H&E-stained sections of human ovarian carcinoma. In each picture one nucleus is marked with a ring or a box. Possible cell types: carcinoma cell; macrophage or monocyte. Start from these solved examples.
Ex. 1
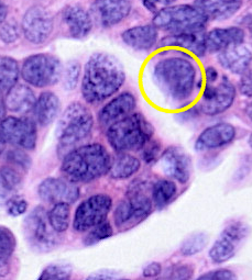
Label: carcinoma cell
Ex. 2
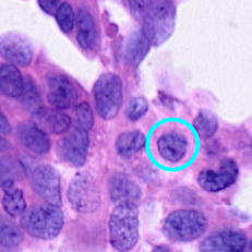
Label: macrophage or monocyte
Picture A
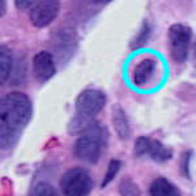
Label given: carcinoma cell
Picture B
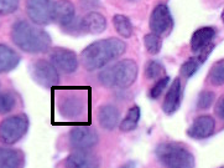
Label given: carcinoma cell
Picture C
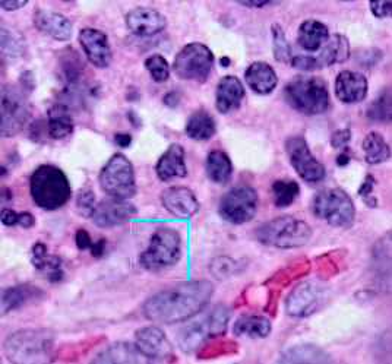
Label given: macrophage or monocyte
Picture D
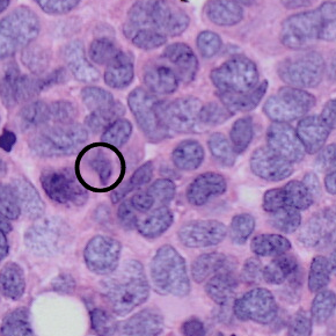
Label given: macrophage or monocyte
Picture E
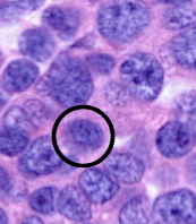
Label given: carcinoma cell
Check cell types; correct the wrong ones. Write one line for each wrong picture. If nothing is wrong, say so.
Wrong: A (carcinoma cell); correct: macrophage or monocyte
Wrong: D (macrophage or monocyte); correct: carcinoma cell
